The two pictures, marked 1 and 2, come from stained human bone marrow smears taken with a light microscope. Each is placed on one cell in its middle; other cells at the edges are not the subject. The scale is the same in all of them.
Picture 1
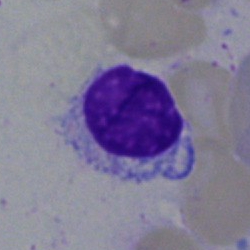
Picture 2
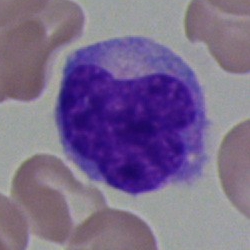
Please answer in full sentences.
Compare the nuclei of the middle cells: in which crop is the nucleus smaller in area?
It is the nucleus in picture 1; the one in picture 2 has about 2 times its area.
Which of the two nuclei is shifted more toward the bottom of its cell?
Seen within its cell, the nucleus in picture 2 lies further toward the bottom.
